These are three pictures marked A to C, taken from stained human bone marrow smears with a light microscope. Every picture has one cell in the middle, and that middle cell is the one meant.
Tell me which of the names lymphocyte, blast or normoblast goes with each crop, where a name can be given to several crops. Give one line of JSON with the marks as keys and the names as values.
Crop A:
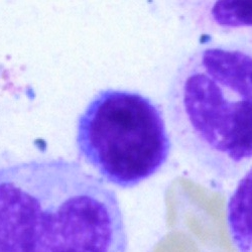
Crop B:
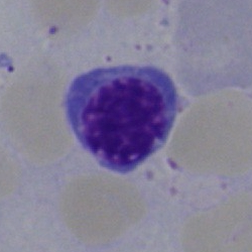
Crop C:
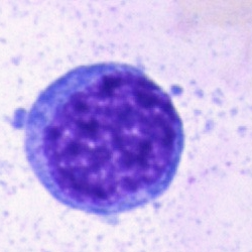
{"A": "lymphocyte", "B": "normoblast", "C": "blast"}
